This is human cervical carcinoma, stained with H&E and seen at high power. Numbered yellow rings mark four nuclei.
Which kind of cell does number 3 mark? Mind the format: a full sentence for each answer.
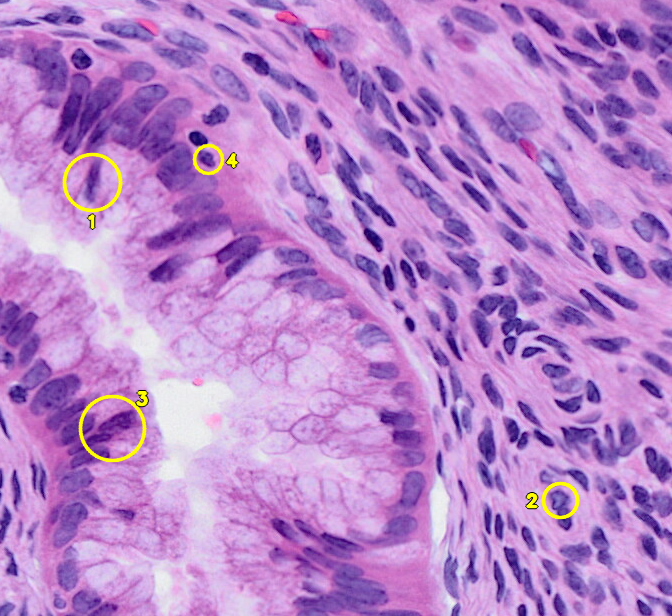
To a secretory epithelial cell belongs the nucleus marked 3.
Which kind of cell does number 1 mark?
The cell that bears the number 1 is a secretory epithelial cell.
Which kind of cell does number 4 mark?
Among the marked cells, number 4 is a secretory epithelial cell.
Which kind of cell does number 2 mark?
The numbered cell 2 is identified here as an endothelial cell.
